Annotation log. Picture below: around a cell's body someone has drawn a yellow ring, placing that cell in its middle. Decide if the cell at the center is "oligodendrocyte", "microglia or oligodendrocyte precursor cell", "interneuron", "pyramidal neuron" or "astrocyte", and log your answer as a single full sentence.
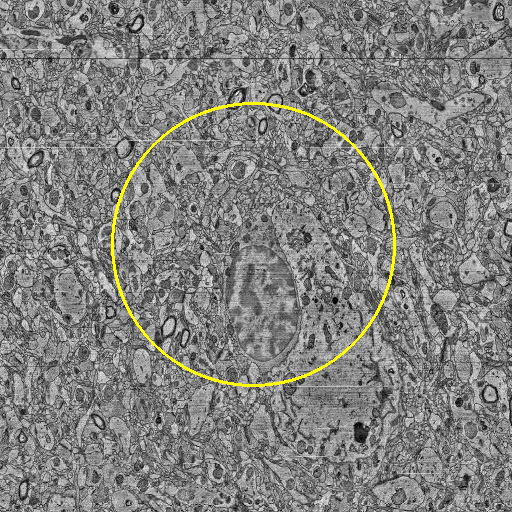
My entry records an oligodendrocyte as the cell sitting at the center of the yellow ring.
